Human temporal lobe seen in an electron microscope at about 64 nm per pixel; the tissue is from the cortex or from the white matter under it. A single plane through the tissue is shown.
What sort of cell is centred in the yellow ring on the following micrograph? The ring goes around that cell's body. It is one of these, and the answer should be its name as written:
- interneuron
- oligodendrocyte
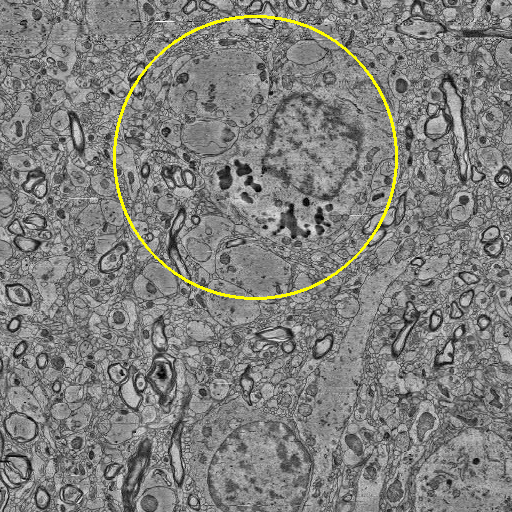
interneuron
